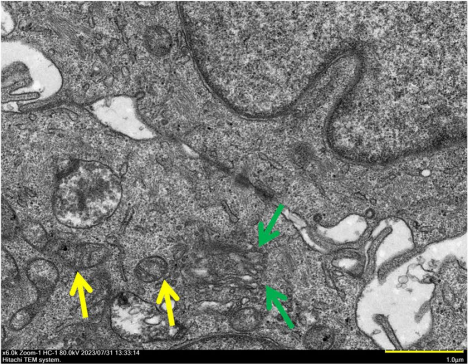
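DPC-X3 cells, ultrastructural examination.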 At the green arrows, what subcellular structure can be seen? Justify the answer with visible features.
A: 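A stack of flattened, parallel membrane cisternae. Small vesicles lie near the ends of the stack.
Hence: Golgi apparatus.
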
